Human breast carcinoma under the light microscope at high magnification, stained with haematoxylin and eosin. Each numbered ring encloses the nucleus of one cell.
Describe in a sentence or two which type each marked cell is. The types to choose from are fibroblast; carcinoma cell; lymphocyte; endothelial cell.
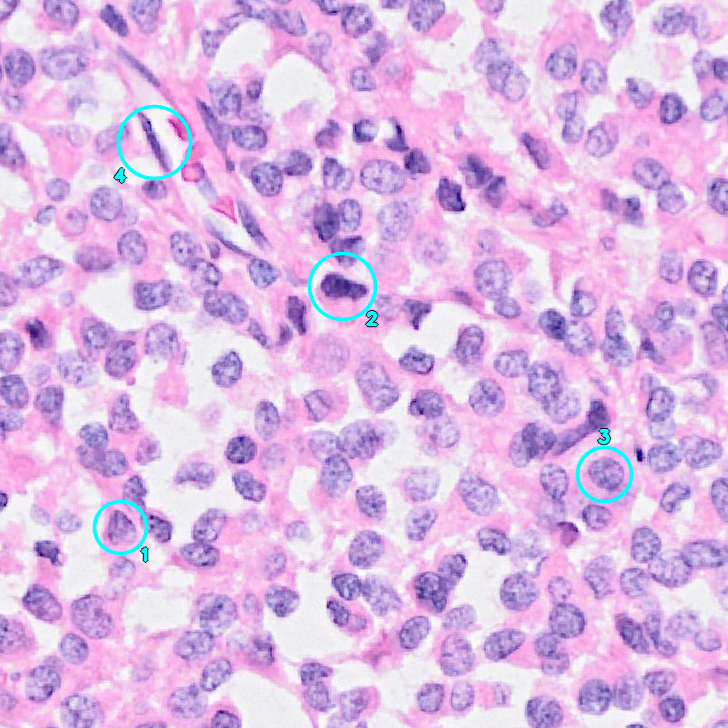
Cells 1, 2 and 3 are carcinoma cells. Cell 4 is an endothelial cell.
